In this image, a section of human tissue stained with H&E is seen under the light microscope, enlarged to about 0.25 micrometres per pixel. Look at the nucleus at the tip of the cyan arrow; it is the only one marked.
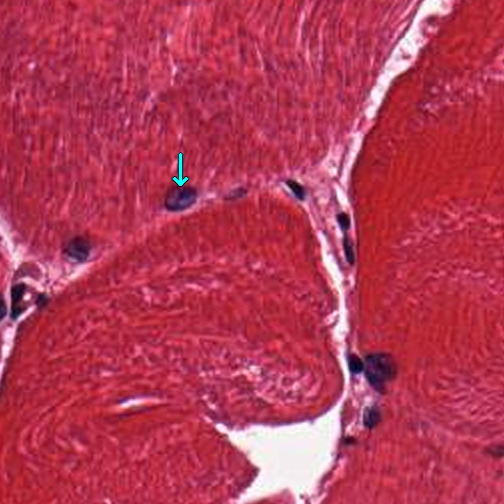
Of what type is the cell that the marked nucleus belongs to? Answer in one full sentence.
Belonging to a skeletal muscle fibre is the marked nucleus.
